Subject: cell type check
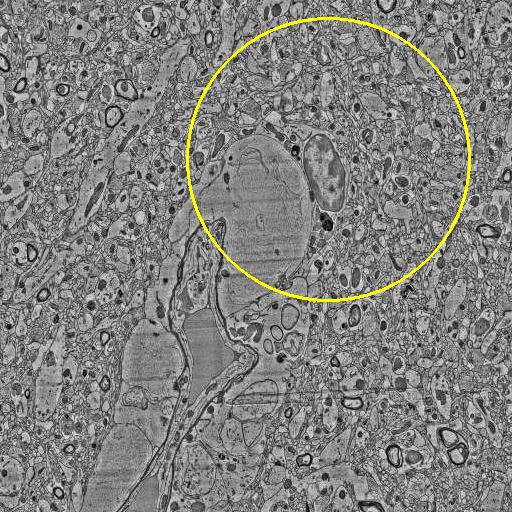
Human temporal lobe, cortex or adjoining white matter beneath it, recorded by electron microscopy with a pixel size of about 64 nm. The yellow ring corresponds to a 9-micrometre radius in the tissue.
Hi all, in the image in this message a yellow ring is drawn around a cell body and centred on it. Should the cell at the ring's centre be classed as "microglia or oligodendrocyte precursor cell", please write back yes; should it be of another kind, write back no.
yes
